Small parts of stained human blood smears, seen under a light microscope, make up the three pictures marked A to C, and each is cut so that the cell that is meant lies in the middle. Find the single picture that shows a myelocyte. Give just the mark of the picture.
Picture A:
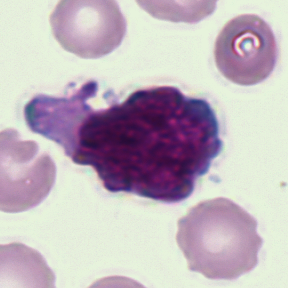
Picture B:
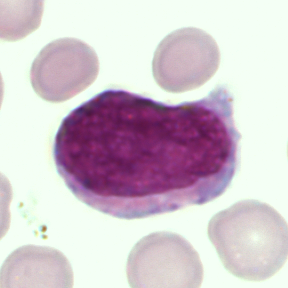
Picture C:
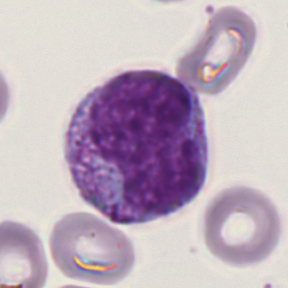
C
